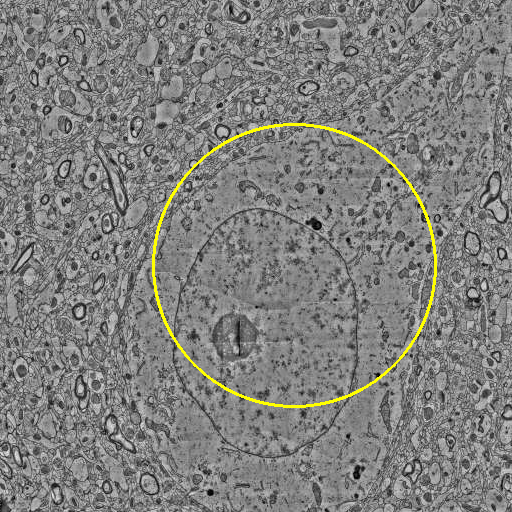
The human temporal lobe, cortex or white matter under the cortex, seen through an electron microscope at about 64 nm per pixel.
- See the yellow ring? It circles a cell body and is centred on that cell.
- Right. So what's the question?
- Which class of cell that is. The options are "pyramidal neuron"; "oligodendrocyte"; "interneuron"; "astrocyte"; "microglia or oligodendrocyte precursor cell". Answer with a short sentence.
The centre of the ring holds a pyramidal neuron.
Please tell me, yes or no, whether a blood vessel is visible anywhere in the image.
No, no blood vessel shows in the picture.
